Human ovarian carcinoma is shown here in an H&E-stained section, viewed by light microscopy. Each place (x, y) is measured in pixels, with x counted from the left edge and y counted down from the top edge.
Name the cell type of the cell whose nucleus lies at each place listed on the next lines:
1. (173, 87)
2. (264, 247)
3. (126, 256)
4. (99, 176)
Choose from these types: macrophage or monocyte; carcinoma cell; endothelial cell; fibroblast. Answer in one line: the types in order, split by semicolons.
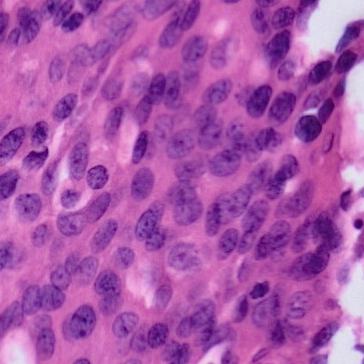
carcinoma cell; carcinoma cell; carcinoma cell; macrophage or monocyte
